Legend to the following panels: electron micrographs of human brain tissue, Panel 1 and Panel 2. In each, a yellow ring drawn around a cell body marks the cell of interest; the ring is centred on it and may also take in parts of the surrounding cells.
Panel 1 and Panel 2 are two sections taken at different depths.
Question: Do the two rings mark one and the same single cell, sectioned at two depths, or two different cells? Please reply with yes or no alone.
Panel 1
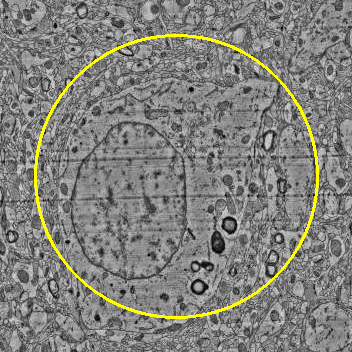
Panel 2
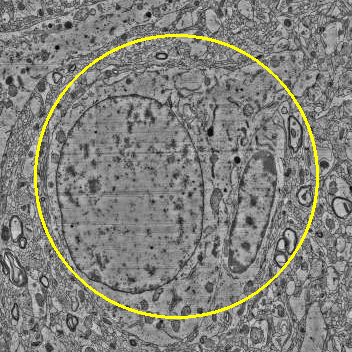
yes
